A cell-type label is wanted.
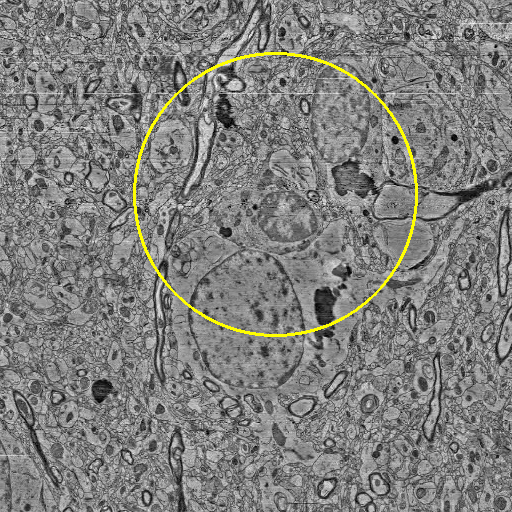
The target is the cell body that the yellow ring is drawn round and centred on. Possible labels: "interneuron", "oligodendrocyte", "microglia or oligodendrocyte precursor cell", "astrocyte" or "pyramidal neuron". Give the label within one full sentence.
Of the labels offered, the cell in the middle of the yellow ring is an oligodendrocyte.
